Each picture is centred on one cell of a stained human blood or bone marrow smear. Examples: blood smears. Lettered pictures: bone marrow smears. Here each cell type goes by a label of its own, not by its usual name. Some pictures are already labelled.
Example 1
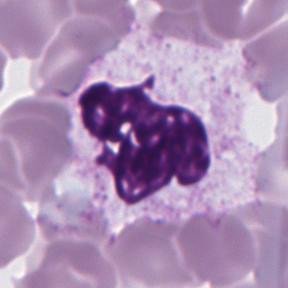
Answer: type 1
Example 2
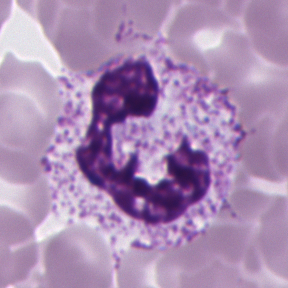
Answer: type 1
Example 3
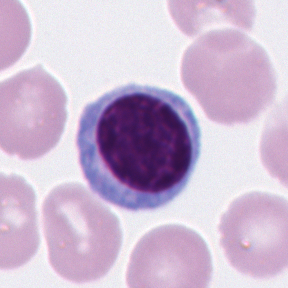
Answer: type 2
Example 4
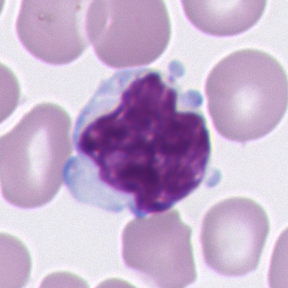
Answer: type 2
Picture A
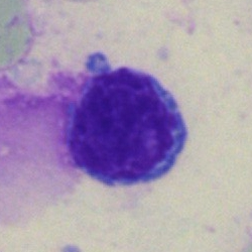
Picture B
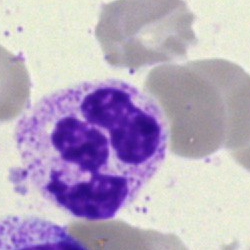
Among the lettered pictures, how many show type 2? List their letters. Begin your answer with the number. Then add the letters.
1: A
